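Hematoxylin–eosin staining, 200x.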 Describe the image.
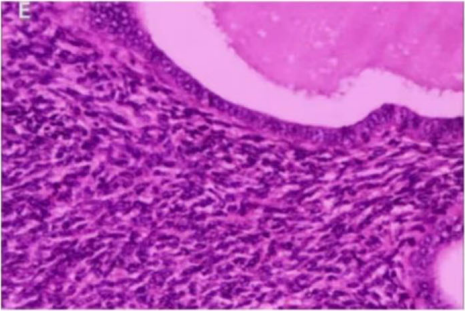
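This field shows a gland surrounded by dense mesenchyme, made up of tightly packed spindle cells. The lumen is lined by a single layer of low columnar to cuboidal epithelial cells with dark basal nuclei. Directly beneath this lining, the stroma is crowded with spindle cells that have elongated, dark-staining nuclei and scant cytoplasm. These cells run in short, interlacing streams, and little intervening matrix is seen between them.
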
